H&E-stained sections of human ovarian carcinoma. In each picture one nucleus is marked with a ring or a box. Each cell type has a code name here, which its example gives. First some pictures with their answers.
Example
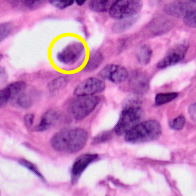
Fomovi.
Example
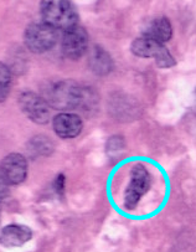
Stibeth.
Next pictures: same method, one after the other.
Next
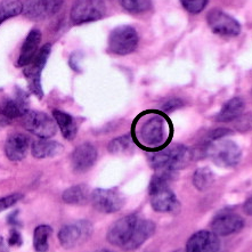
Fomovi.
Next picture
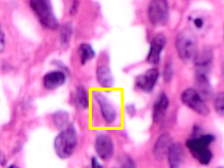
Stibeth.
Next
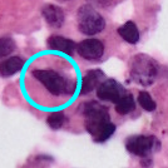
Stibeth.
